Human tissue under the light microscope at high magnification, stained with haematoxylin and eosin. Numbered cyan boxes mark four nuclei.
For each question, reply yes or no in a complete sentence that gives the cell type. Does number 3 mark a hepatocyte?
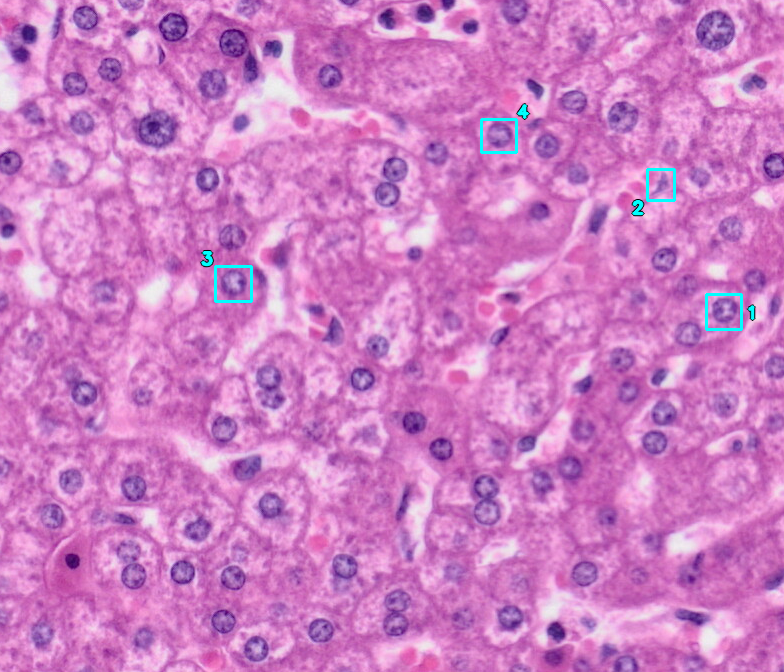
Yes, the cell tagged with number 3 is a hepatocyte.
